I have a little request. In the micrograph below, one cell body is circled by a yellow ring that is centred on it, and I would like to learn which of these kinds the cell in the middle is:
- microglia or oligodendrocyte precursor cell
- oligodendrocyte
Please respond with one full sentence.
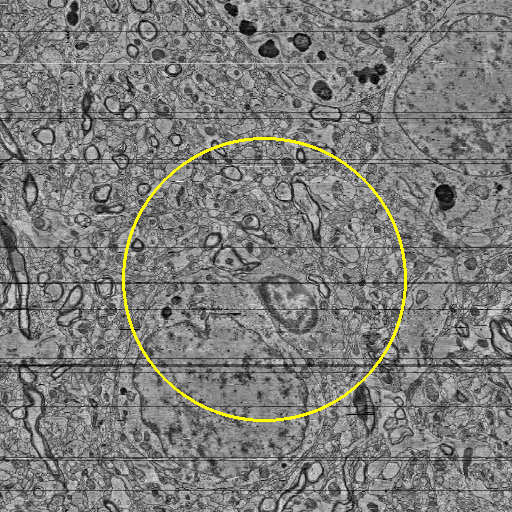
The cell sitting in the middle of the yellow ring in the micrograph is an oligodendrocyte.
